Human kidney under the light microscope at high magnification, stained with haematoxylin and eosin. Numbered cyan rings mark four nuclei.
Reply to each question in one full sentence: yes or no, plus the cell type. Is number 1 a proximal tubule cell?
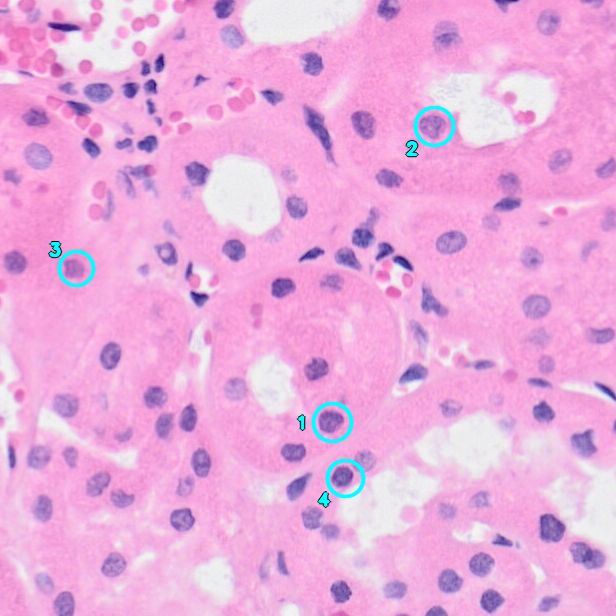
Yes, with respect to number 1, the cell is a proximal tubule cell.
